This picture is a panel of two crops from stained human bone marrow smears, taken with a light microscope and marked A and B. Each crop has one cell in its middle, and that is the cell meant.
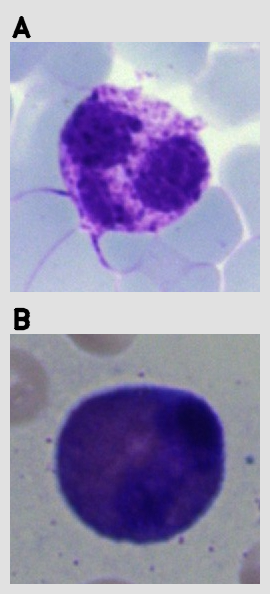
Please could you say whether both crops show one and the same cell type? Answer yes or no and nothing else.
no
